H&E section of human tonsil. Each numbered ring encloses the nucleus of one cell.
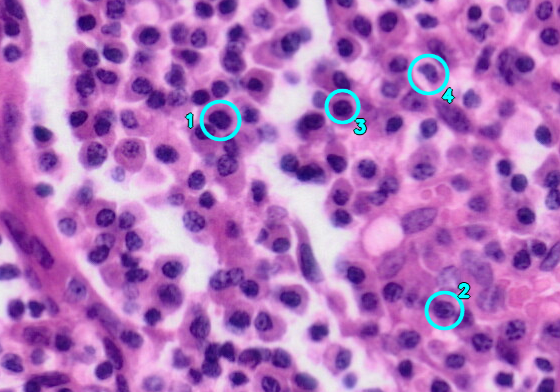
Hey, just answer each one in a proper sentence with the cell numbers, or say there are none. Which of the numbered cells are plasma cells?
The cells marked by the numbers 1, 2 and 3 are plasma cells.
